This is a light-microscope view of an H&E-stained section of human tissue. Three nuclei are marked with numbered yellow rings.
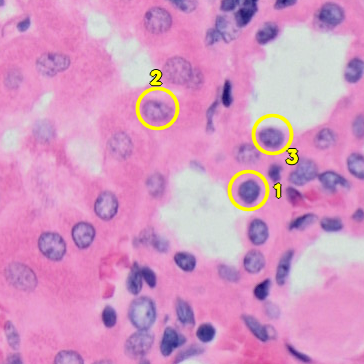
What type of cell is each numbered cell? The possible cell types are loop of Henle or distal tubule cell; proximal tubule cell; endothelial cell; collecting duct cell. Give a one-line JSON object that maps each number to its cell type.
{"1": "loop of Henle or distal tubule cell", "2": "proximal tubule cell", "3": "loop of Henle or distal tubule cell"}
